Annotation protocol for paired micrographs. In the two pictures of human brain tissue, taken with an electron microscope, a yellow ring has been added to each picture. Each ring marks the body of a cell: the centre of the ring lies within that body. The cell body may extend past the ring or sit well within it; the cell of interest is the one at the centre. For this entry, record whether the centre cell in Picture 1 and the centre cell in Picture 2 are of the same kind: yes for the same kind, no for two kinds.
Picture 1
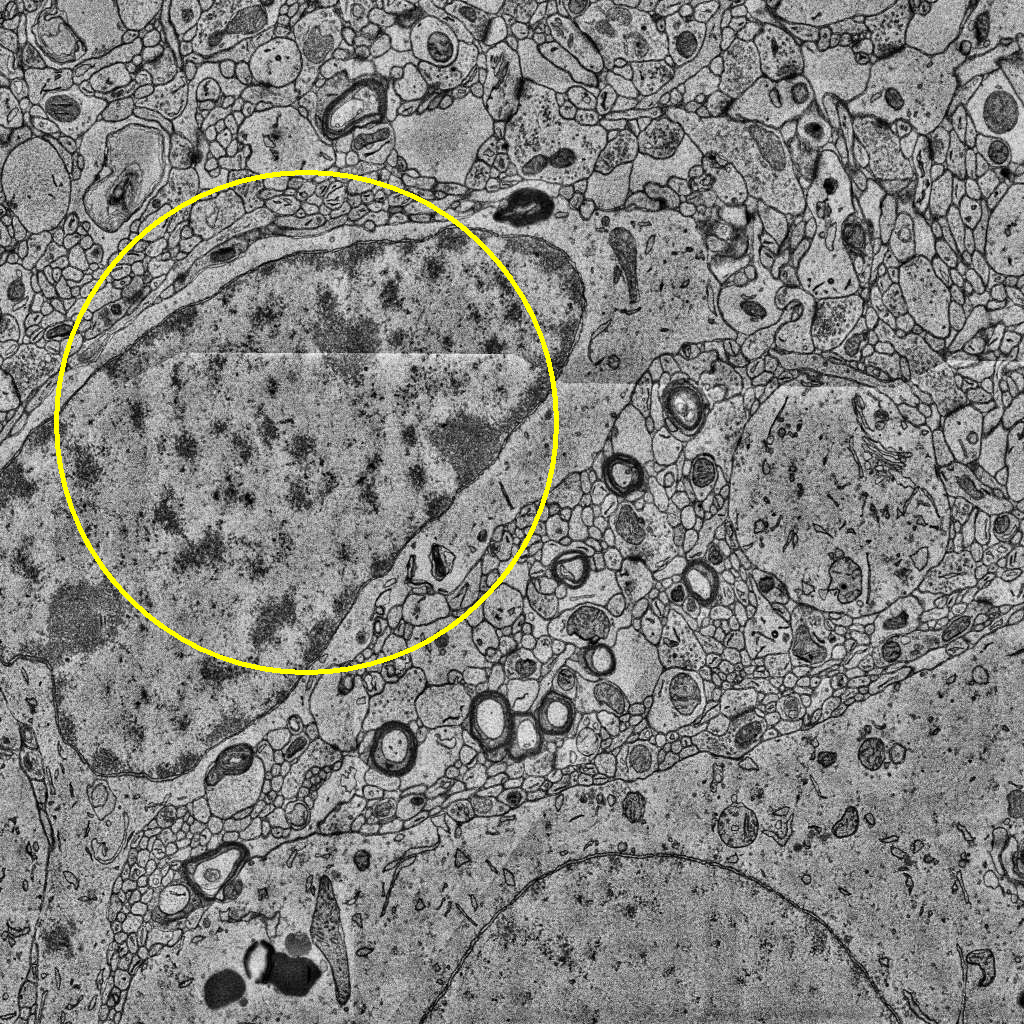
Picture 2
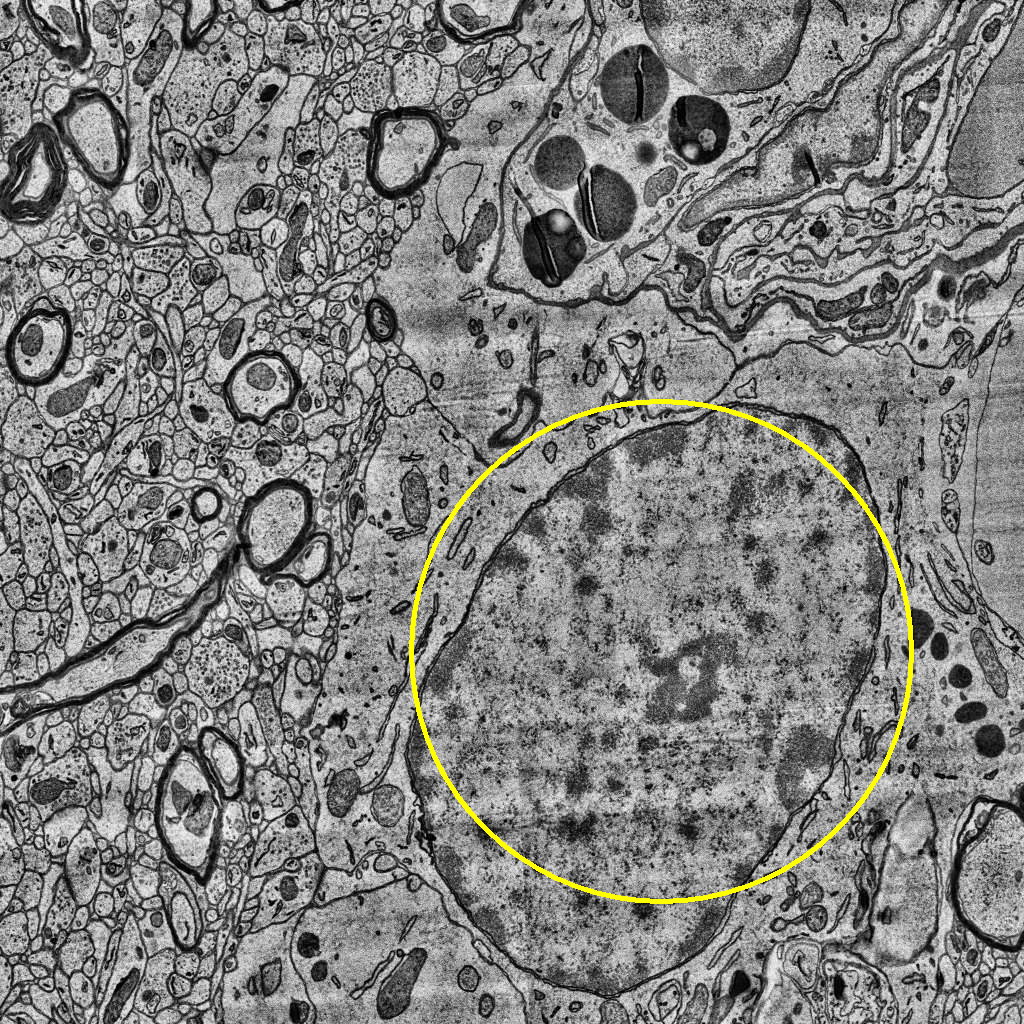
yes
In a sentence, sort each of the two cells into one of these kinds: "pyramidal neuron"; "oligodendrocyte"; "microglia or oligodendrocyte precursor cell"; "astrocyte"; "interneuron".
The ring centre holds a microglial cell or oligodendrocyte precursor cell in each of the two pictures.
